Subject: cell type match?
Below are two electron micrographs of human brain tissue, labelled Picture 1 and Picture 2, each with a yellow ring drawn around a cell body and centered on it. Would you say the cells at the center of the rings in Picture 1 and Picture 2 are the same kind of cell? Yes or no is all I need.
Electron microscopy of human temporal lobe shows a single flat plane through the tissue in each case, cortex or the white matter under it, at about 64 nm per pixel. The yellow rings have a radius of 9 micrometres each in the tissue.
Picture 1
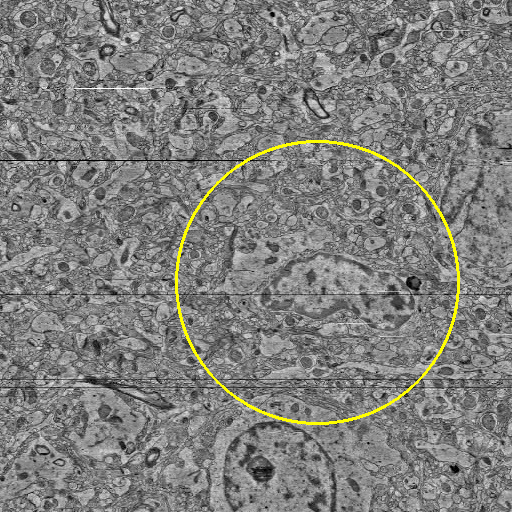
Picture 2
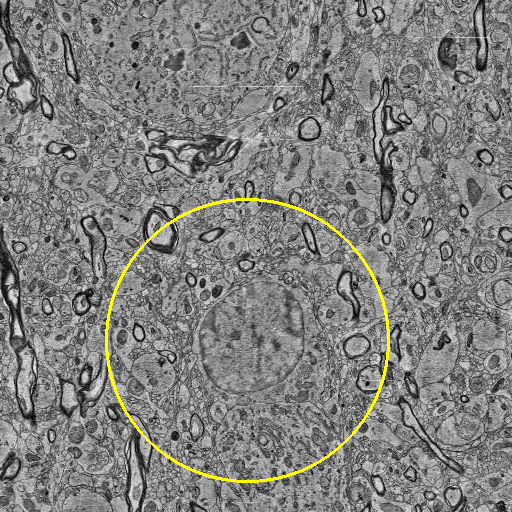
no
